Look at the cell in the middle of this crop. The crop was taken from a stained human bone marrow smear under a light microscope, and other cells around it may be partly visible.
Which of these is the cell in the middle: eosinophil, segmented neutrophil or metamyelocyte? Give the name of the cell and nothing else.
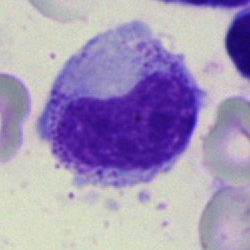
metamyelocyte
